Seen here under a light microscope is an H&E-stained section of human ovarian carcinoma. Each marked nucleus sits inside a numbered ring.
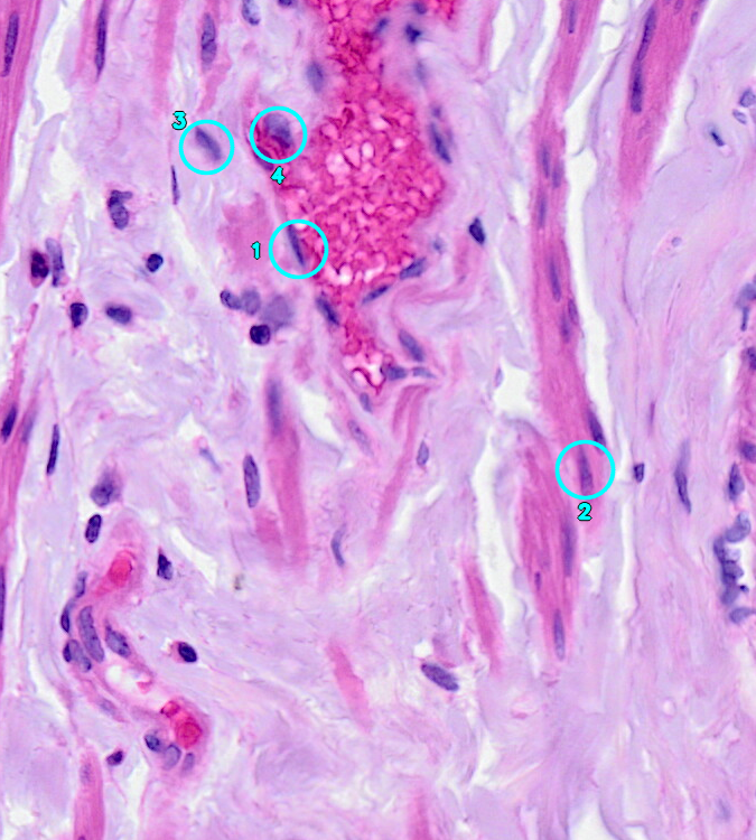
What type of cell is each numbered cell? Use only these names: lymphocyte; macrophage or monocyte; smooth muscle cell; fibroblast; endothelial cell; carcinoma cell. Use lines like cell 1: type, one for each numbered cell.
cell 1: endothelial cell
cell 2: smooth muscle cell
cell 3: fibroblast
cell 4: endothelial cell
